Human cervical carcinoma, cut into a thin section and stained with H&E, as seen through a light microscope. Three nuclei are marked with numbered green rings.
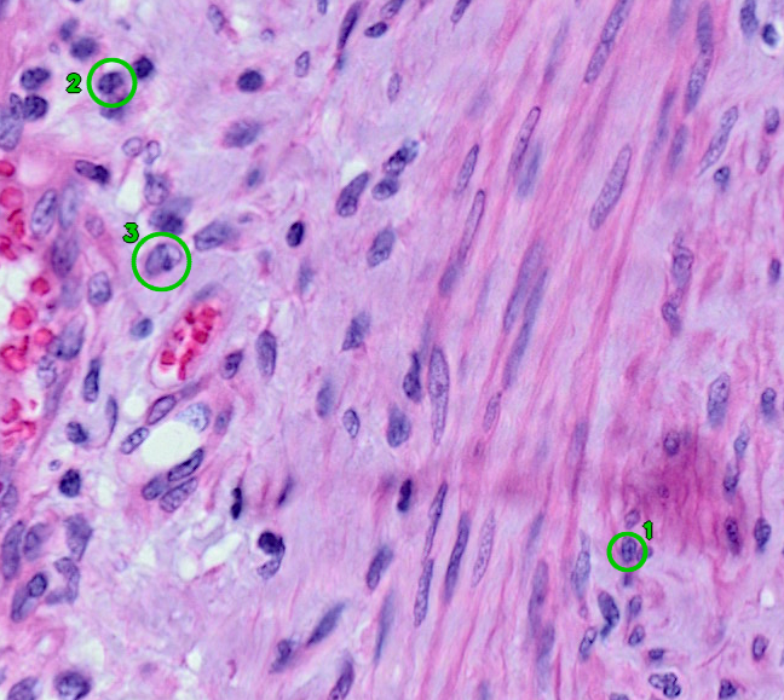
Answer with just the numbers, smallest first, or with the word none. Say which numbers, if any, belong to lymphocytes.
2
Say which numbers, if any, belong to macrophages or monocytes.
3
